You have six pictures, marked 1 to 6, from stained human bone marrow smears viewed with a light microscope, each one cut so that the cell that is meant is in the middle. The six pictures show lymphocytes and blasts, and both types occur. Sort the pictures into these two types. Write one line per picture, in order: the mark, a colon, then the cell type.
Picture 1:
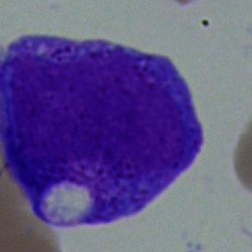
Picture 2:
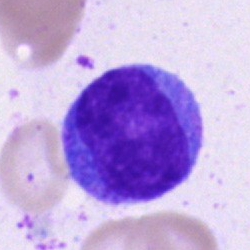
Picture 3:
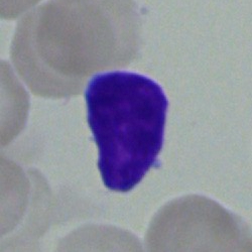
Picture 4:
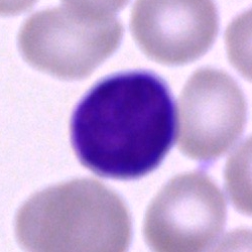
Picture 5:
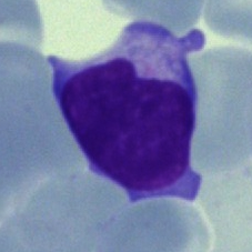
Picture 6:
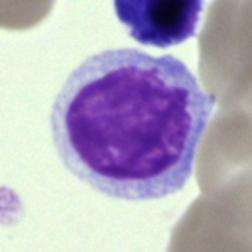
1: blast
2: blast
3: lymphocyte
4: lymphocyte
5: lymphocyte
6: lymphocyte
